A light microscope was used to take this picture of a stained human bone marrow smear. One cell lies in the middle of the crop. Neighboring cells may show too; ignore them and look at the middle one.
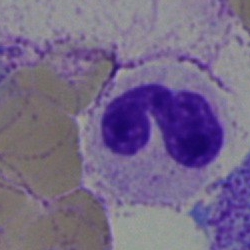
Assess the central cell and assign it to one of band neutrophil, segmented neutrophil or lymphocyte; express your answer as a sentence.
The center cell of this crop is a band neutrophil.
